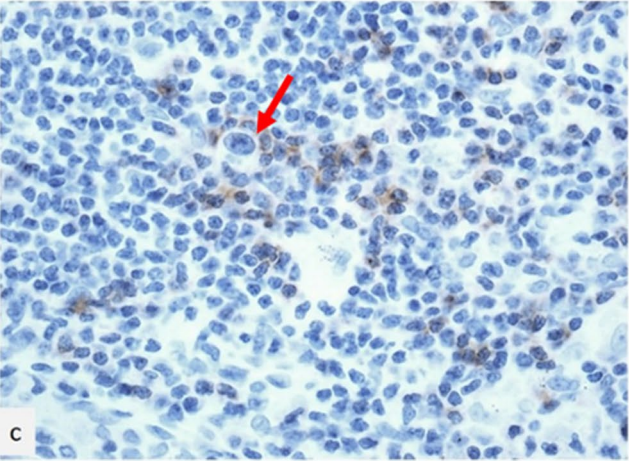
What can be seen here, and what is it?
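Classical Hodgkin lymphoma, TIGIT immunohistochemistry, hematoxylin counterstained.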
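A large cell at the arrow stands out with a bigger, paler, oval nucleus outlined by a distinct membrane. Small groups of lymphocytes with light brown membrane staining lie near it and elsewhere in the field, while most lymphocytes remain blue.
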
